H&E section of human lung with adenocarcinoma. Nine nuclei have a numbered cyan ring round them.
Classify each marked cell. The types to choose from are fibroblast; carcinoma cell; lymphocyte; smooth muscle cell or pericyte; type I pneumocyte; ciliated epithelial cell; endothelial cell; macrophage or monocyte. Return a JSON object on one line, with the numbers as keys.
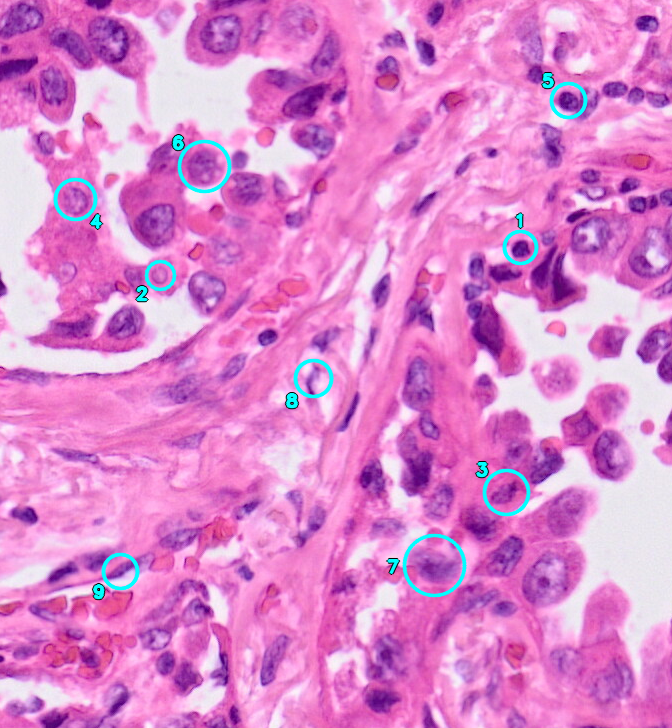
{"1": "lymphocyte", "2": "macrophage or monocyte", "3": "carcinoma cell", "4": "macrophage or monocyte", "5": "lymphocyte", "6": "carcinoma cell", "7": "carcinoma cell", "8": "fibroblast", "9": "endothelial cell"}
